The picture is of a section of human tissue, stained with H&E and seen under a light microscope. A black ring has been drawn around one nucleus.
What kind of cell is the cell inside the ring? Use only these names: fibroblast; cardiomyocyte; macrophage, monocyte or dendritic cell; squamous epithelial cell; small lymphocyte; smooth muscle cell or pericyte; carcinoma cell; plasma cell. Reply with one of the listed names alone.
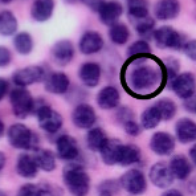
small lymphocyte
